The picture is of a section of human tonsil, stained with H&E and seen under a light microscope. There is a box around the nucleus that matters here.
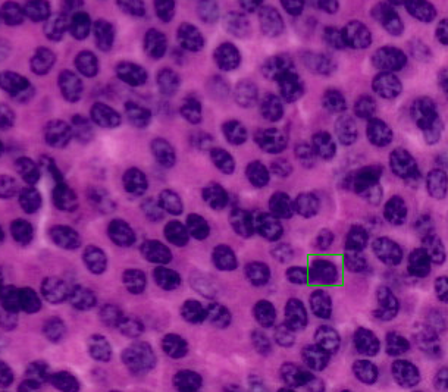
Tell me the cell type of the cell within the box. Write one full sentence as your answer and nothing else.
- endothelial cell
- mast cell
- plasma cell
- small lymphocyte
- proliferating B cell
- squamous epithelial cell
The identity of the cell within the box is that of a plasma cell.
